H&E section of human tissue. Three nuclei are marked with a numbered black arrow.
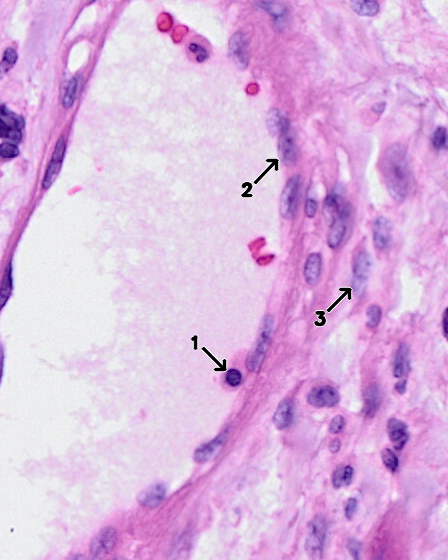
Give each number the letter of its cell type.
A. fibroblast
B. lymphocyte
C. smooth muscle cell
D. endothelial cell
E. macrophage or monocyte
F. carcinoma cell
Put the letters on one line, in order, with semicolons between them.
B; D; A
